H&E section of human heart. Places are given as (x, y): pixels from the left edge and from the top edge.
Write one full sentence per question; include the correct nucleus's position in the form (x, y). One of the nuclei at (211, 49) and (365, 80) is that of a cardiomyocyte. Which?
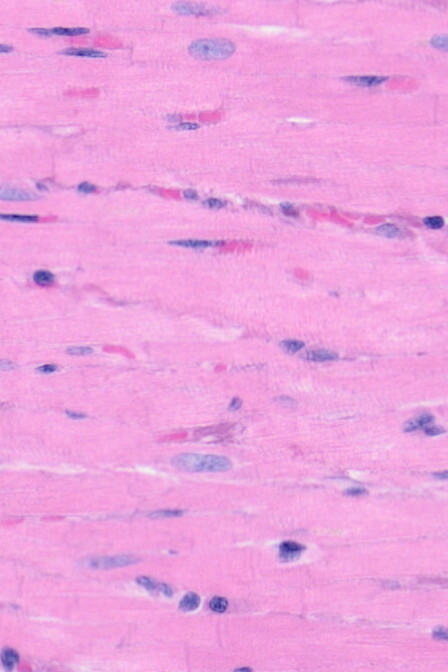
Among the two nuclei, the one lying at (211, 49) is part of a cardiomyocyte.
